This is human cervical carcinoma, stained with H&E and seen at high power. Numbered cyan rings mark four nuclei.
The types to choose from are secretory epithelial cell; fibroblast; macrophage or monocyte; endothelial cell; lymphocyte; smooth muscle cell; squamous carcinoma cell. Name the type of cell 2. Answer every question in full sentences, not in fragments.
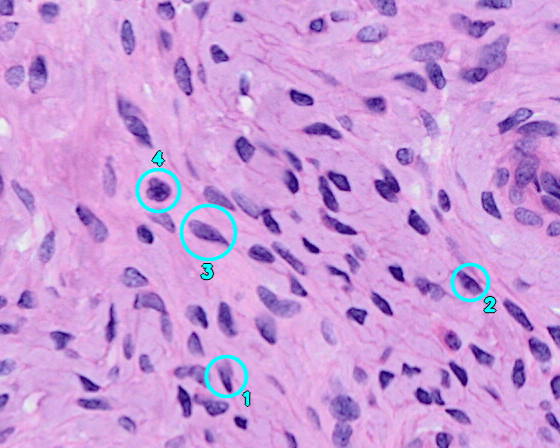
The cell given label 2 is a fibroblast.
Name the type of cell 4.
Denoted by the label 4 in the section is a lymphocyte.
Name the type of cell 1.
Cell 1 is classified as a fibroblast.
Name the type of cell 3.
The cell pointed out as number 3 is a fibroblast.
